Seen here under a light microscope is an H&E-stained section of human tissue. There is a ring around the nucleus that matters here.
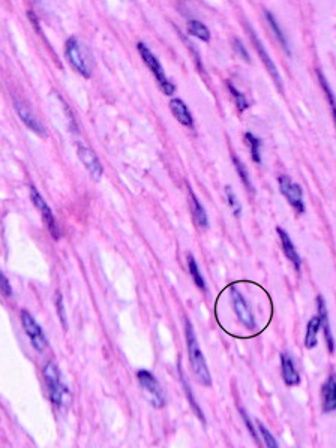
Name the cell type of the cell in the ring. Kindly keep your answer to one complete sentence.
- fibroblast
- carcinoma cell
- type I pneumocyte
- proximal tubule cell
As for its identity, the cell in the ring is a fibroblast.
